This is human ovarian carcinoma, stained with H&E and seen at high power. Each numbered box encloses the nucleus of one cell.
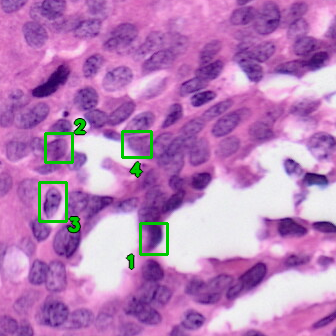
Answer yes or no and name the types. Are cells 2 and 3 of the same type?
No, cell 2 is a carcinoma cell and cell 3 is a macrophage or monocyte.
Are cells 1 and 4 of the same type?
Yes, both are carcinoma cells.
